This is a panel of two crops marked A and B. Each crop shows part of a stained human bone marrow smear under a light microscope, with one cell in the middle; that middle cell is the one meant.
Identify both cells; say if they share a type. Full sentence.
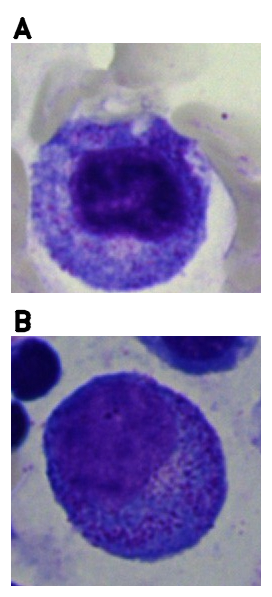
Yes, the centred cells are promyelocytes in both crops.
